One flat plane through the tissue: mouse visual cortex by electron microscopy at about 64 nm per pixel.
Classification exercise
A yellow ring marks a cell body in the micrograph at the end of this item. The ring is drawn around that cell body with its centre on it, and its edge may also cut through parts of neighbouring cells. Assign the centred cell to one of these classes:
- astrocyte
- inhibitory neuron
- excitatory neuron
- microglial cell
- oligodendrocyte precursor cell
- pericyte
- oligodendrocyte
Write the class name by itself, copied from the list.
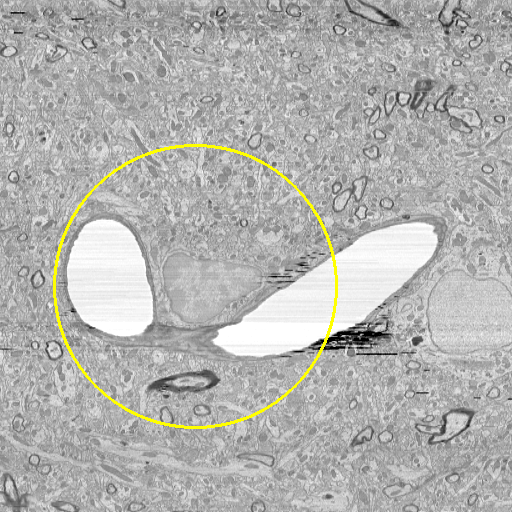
microglial cell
